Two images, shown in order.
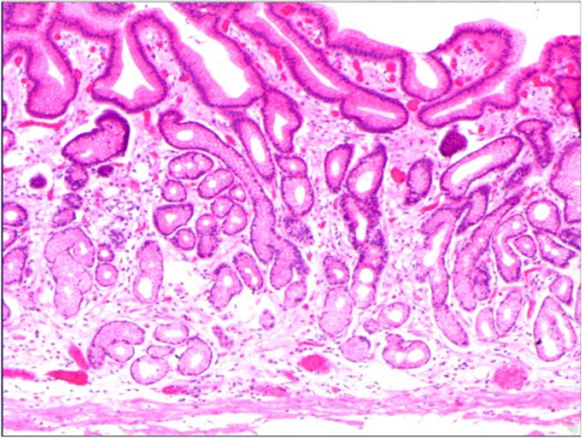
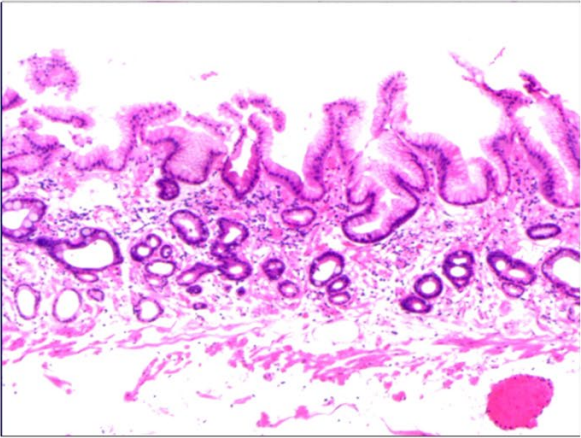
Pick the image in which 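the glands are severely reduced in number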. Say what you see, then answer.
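First image: many glands still fill the deeper mucosa beneath the pits. Second image: only a few small scattered glands remain in a thin glandular layer.
Conclusion: the second image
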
